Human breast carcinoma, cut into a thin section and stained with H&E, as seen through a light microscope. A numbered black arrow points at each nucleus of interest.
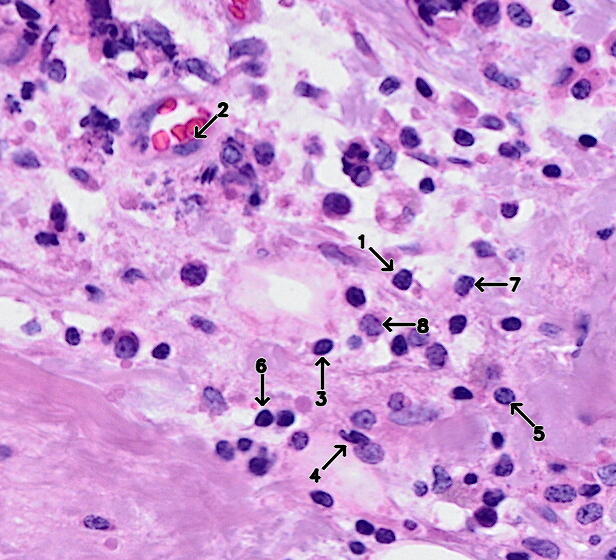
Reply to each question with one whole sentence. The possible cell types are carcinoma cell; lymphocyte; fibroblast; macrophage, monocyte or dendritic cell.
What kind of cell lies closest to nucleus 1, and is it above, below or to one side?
A fibroblast lies closest, above nucleus 1.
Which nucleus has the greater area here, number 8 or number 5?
Of the two, number 8 is bigger and takes up about 1.5 times the area of number 5.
